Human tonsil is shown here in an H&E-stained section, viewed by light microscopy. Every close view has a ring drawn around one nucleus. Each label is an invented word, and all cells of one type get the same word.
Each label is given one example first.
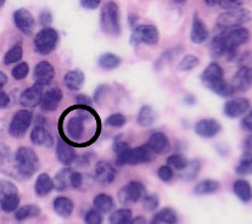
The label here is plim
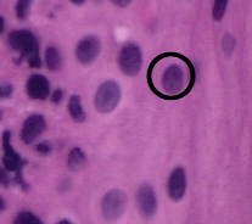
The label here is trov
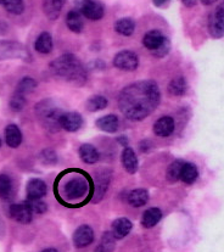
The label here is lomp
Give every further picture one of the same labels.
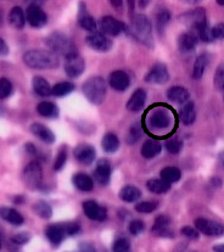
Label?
lomp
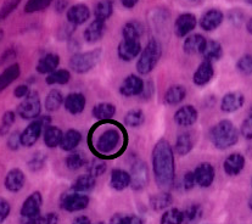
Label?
lomp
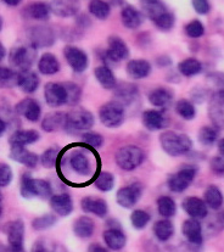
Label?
plim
